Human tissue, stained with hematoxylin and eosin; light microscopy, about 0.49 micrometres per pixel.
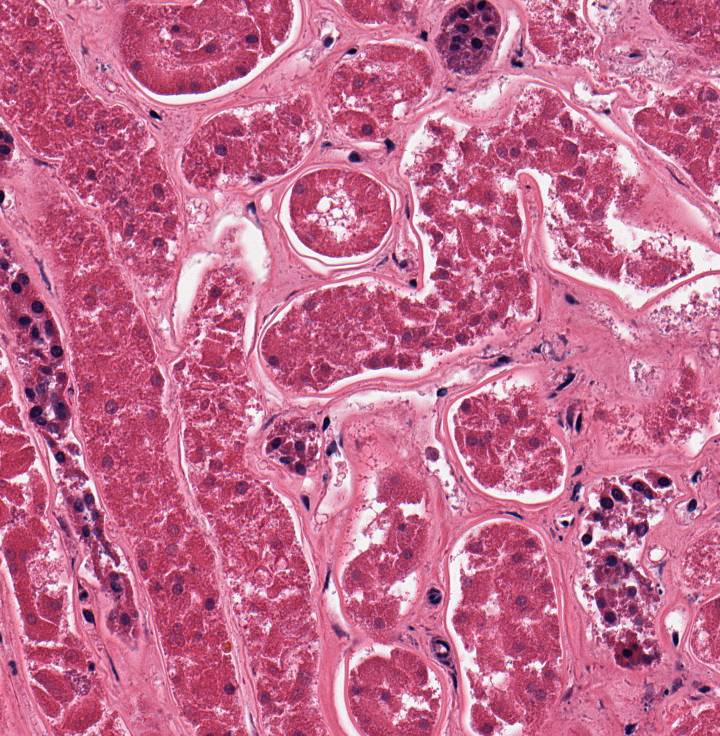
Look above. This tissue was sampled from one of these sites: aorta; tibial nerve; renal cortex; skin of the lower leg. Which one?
renal cortex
